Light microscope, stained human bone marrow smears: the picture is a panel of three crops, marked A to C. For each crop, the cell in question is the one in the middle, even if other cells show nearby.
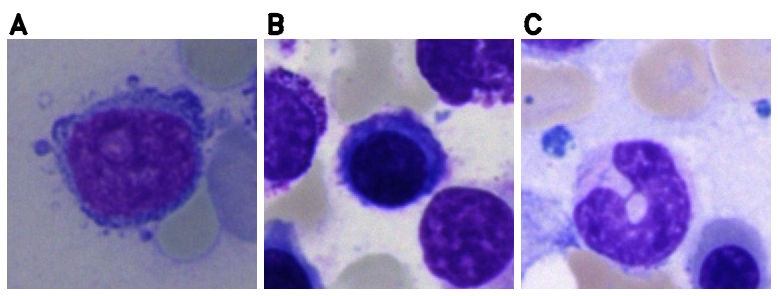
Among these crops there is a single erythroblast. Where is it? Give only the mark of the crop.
B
